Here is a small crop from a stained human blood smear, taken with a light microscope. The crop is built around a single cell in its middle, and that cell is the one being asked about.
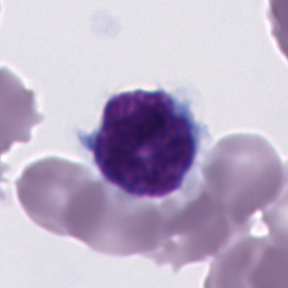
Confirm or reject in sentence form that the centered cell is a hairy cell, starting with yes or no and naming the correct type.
Yes, the identity of the central cell is that of a hairy cell.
